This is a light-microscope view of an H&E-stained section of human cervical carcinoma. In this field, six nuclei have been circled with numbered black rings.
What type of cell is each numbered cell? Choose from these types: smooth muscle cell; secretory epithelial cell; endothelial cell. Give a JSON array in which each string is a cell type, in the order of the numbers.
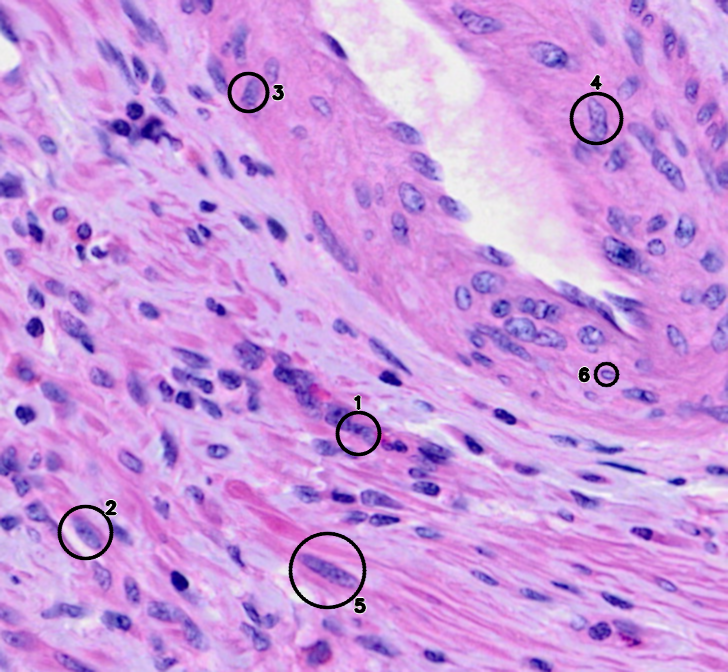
["endothelial cell", "endothelial cell", "smooth muscle cell", "smooth muscle cell", "smooth muscle cell", "smooth muscle cell"]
